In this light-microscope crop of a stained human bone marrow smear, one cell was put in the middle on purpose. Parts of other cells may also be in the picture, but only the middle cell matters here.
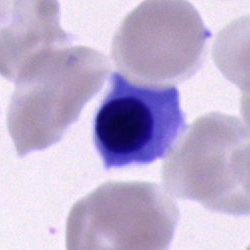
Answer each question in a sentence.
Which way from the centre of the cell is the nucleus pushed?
It is shifted toward the left of the cell.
